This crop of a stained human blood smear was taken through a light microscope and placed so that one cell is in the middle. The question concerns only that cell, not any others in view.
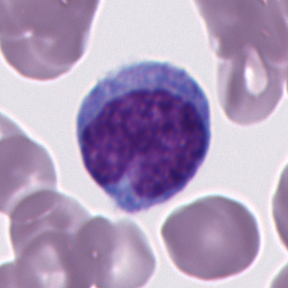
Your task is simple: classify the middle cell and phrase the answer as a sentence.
In the middle of this smear crop is a monocyte.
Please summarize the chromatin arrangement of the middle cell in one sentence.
You can see that its chromatin is coarsely clumped.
